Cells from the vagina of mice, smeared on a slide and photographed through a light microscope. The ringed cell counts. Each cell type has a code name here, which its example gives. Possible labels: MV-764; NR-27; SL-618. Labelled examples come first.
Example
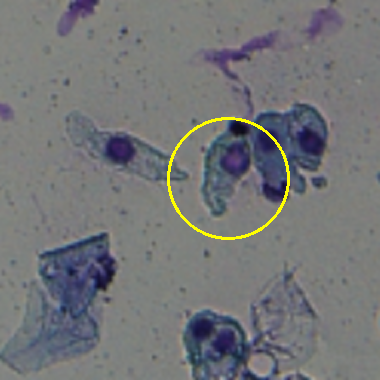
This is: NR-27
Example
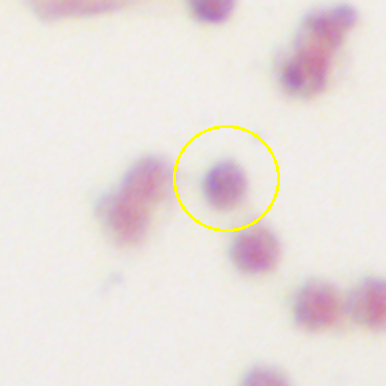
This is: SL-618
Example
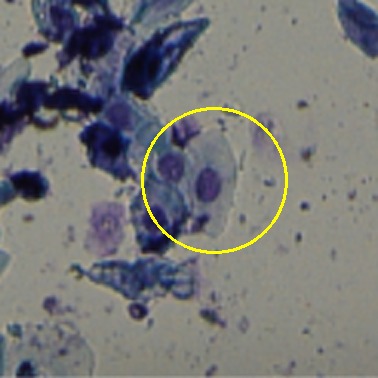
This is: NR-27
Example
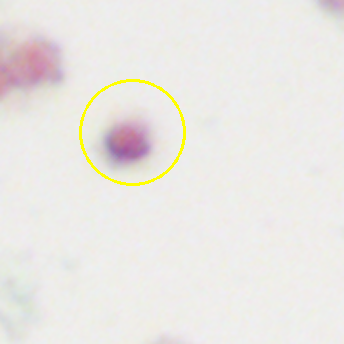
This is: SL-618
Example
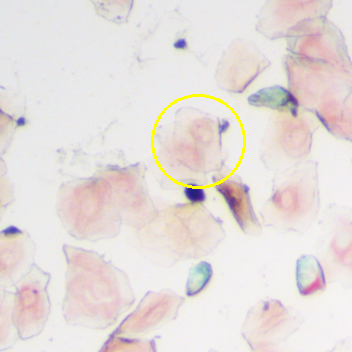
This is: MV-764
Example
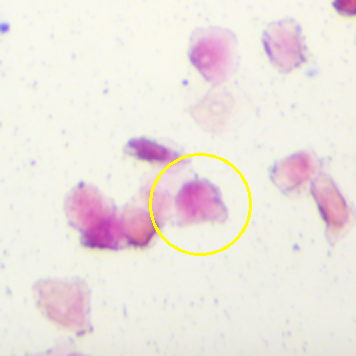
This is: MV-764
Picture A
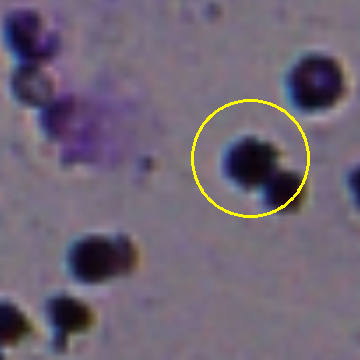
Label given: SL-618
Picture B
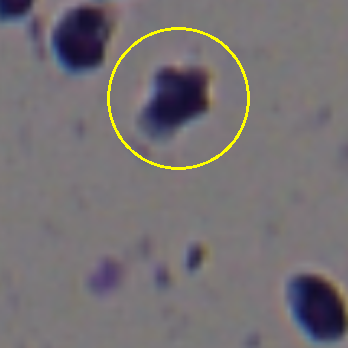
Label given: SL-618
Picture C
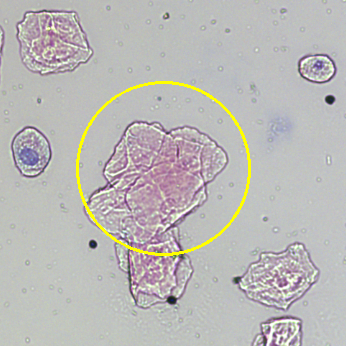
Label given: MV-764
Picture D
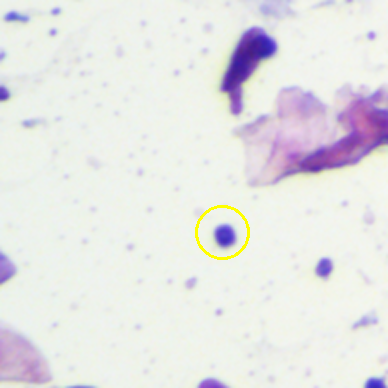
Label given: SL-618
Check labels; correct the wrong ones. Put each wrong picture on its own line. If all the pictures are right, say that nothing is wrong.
Every label is right.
